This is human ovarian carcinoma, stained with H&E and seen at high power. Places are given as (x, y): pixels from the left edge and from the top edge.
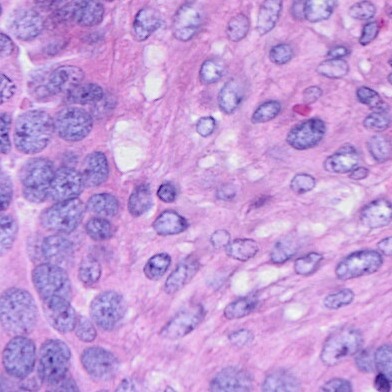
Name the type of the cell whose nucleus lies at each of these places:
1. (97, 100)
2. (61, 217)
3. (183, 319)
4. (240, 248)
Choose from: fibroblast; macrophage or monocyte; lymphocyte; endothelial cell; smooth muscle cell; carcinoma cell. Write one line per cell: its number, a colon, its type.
1: carcinoma cell
2: carcinoma cell
3: fibroblast
4: fibroblast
